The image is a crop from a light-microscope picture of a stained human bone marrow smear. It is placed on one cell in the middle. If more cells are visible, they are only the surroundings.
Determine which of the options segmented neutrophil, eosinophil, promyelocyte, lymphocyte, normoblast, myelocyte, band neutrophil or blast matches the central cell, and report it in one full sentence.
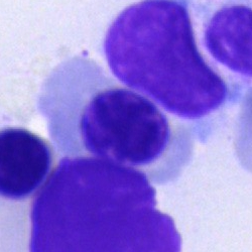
The cell in the exact centre of the crop is a normoblast.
